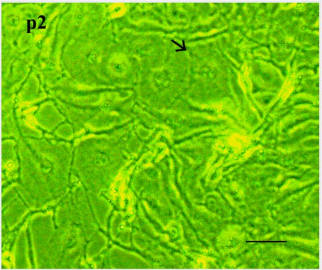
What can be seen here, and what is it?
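This phase-contrast image shows cultured cells with a mix of elongated spindle forms and broad, flattened cell bodies. The arrow marks a large, spread cell whose cytoplasm appears granular. Around it, slender cells with long processes cross over one another, and a few bright, rounded profiles are scattered between them. The large flat cells stand out against the narrower cells by their size and pale, wide cytoplasm.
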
